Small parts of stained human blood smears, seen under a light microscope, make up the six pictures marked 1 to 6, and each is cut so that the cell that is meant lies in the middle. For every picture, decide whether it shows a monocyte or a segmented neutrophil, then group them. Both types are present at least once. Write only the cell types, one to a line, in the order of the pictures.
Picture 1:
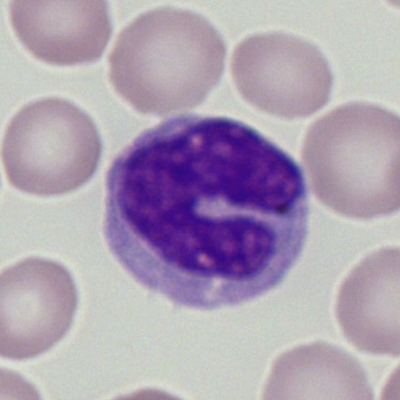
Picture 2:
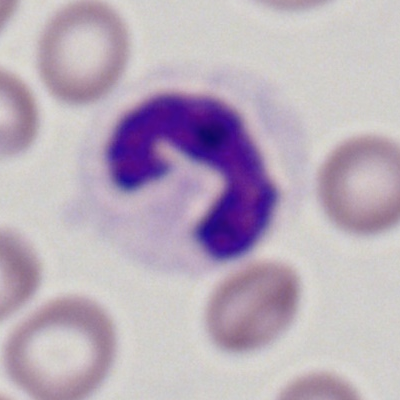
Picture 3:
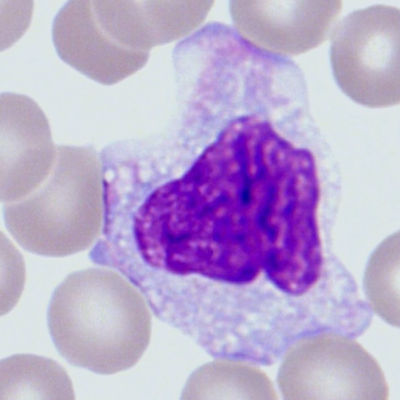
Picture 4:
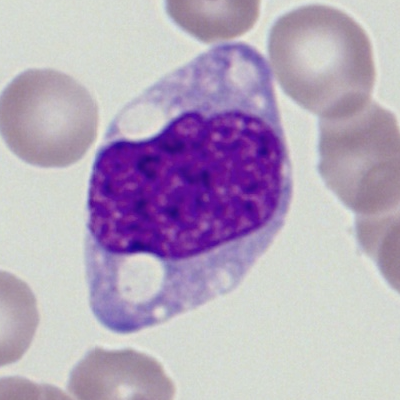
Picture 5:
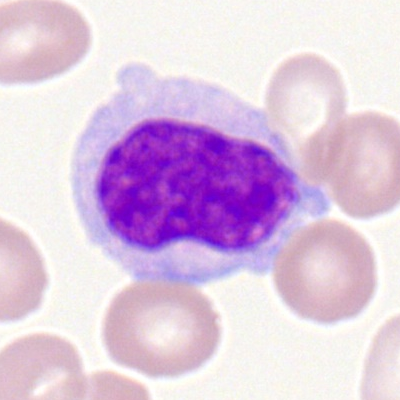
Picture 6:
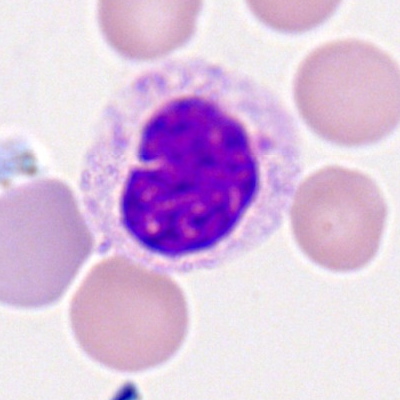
monocyte
segmented neutrophil
monocyte
monocyte
monocyte
segmented neutrophil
